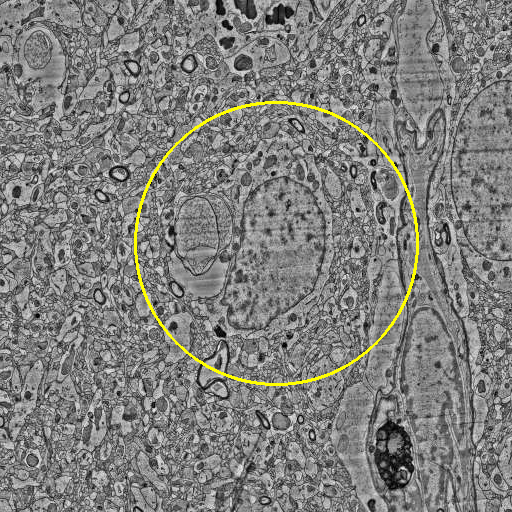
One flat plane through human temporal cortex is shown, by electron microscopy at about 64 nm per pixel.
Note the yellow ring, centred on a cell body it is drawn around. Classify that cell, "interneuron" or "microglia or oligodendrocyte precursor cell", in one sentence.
The cell the ring is centred on is an interneuron.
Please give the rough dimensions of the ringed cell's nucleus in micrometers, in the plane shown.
In this plane the nucleus is clearly longer than it is wide, at approximately 10 by 6 micrometres.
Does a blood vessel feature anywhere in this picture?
Yes, there is one.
